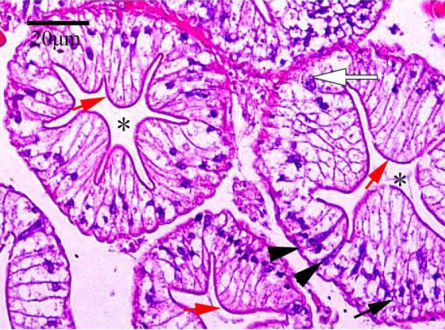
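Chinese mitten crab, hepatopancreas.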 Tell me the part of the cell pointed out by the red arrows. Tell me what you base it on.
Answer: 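The red arrows point at the thin, dense pink edge of the epithelium facing the lumen. This luminal edge is continuous along the cells. So: brush border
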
